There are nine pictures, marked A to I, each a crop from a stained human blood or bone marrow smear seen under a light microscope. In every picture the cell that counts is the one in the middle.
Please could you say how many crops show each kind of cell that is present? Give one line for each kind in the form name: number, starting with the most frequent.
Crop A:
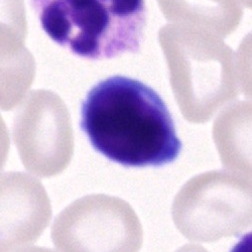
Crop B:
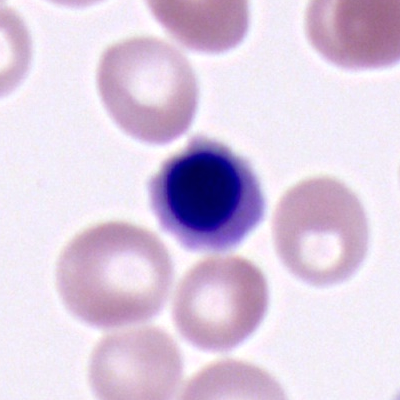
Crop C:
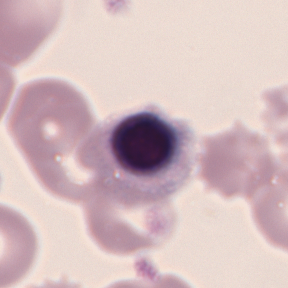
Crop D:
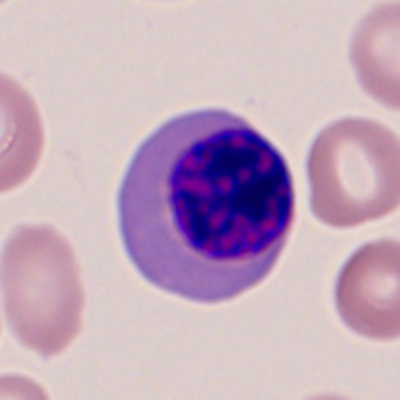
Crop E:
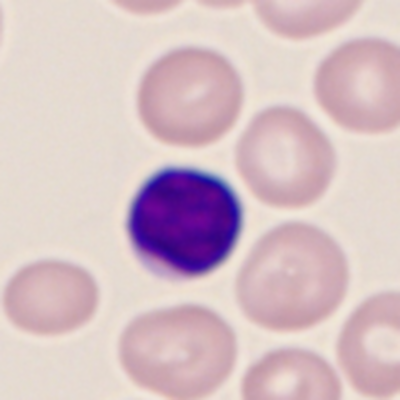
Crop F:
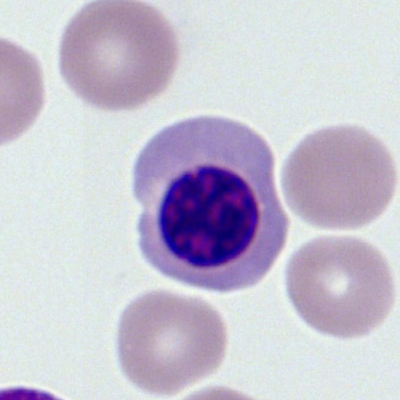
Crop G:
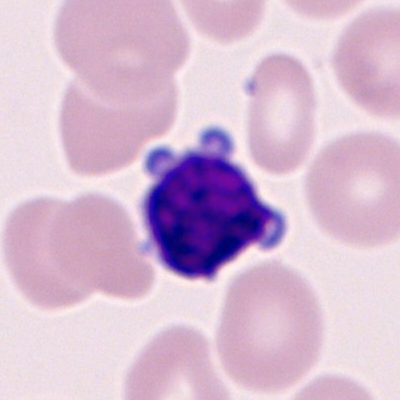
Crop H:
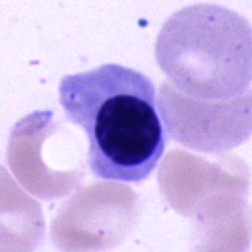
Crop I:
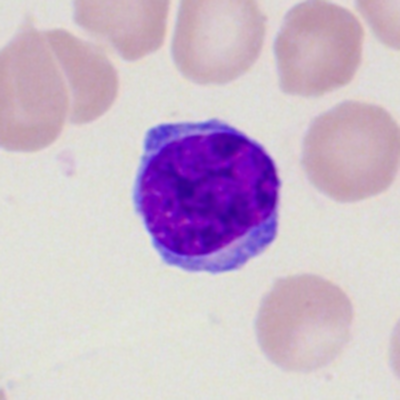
erythroblast: 5
lymphocyte: 4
